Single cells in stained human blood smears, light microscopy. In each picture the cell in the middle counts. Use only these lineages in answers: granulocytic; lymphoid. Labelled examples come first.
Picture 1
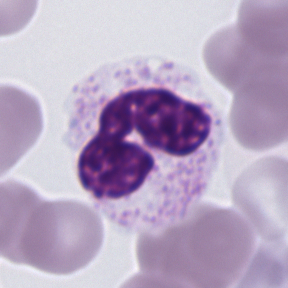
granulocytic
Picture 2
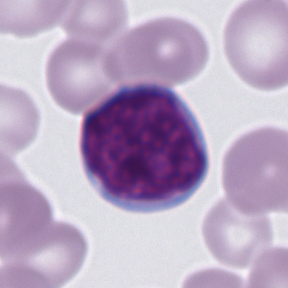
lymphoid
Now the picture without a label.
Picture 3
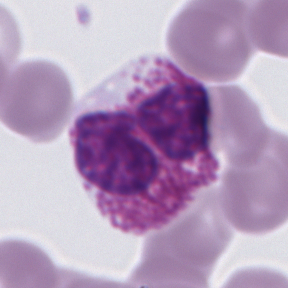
granulocytic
